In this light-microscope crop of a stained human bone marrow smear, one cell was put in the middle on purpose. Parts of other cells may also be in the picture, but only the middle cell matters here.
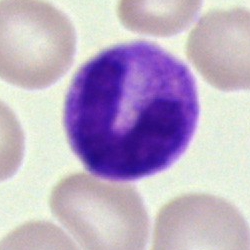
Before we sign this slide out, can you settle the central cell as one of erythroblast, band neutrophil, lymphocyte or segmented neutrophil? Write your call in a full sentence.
Looking at the middle of the crop, the cell there is a band neutrophil.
